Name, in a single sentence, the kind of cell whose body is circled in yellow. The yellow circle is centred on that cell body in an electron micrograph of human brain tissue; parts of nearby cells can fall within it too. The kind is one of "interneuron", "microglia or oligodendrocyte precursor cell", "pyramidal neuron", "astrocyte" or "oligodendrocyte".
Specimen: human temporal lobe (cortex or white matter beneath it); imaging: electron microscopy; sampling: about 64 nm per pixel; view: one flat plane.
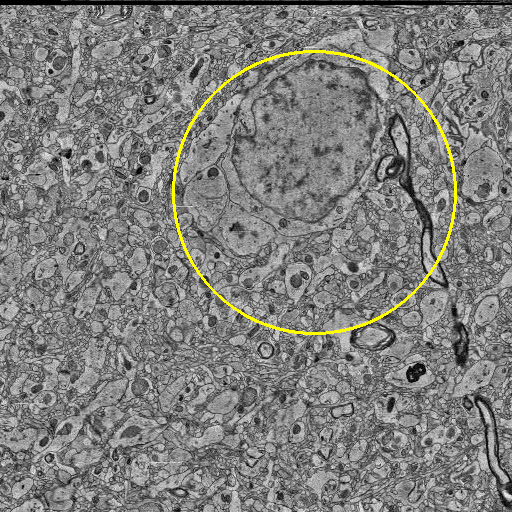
The circled cell body belongs to an interneuron.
